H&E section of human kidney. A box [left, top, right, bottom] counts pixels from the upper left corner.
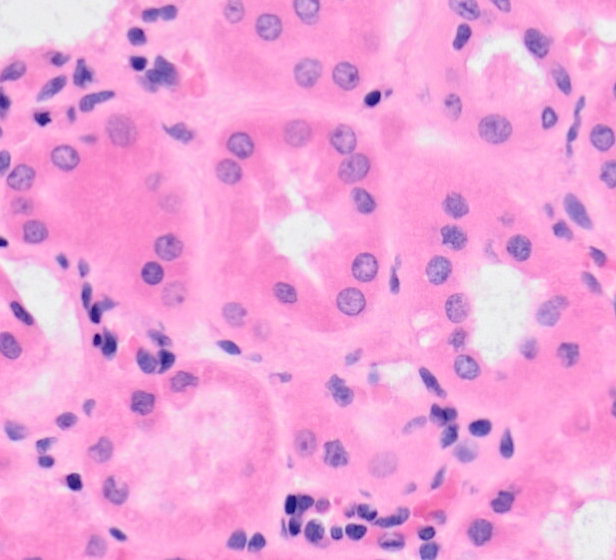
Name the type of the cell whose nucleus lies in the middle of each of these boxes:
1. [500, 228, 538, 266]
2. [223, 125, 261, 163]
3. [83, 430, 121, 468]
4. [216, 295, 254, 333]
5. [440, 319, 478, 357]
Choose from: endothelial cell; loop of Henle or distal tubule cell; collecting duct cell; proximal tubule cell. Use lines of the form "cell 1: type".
cell 1: loop of Henle or distal tubule cell
cell 2: proximal tubule cell
cell 3: proximal tubule cell
cell 4: proximal tubule cell
cell 5: loop of Henle or distal tubule cell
